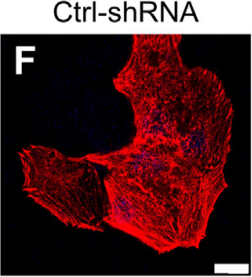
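These are flattened, spread cultured cells lying in a small cluster, their outlines traced by the red stain. Bright red straight fibres run in parallel bundles across the cytoplasm, crossing the cells in several directions. The cell margins carry a denser red rim, and faint blue shows where the nuclei sit near the centres.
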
